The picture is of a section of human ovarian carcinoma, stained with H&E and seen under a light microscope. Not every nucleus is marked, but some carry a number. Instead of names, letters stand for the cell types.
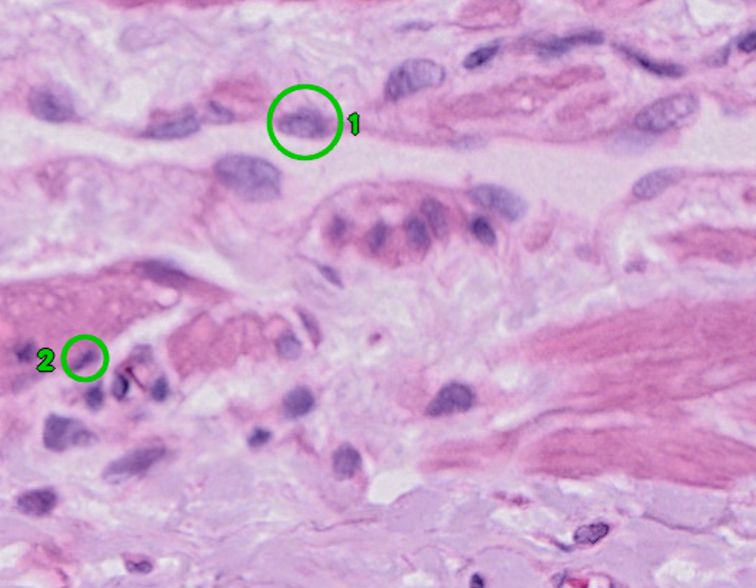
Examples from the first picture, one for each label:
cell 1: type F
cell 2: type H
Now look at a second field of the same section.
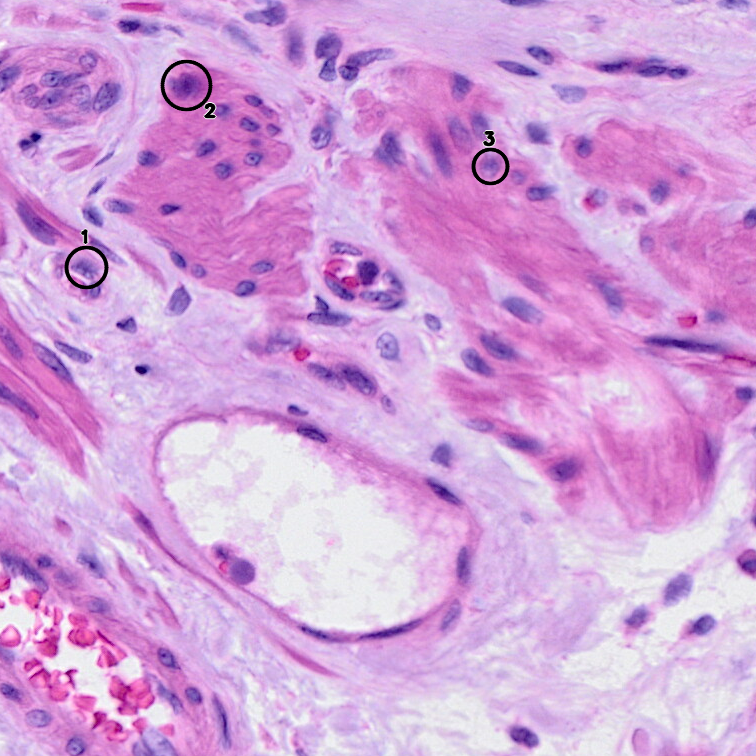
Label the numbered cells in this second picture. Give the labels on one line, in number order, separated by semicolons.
type F; type H; type H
